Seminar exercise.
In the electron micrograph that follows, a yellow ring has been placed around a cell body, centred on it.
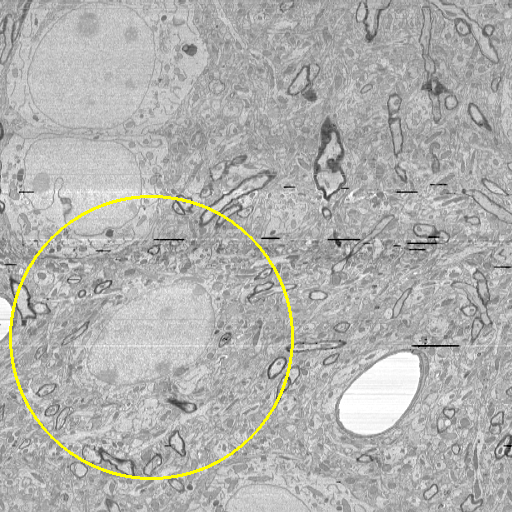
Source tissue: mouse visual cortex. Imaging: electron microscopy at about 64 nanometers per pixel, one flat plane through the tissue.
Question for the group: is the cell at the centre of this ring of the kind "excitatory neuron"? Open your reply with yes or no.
No, the cell in the ring's centre is of another kind.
